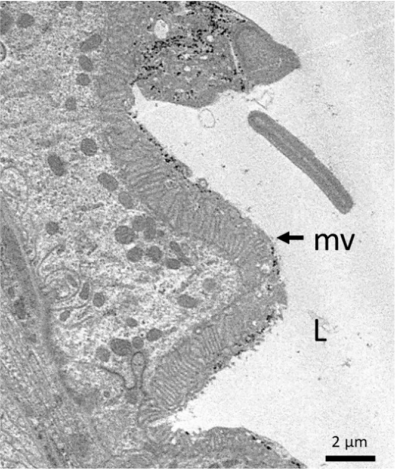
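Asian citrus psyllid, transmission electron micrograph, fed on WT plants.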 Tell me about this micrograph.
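Gut epithelial cells are seen bordering a broad pale lumen, their apical surface covered by a continuous brush border of closely packed, regular parallel microvilli. The cytoplasm beneath is rich in dark oval and rod-shaped mitochondria and membranous profiles. A tongue of epithelium projects into the lumen with its microvilli intact along its edge. An elongated dense rod-shaped body lies free in the lumen nearby.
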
